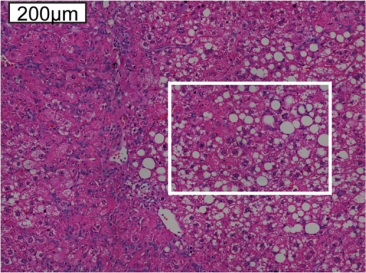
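This is liver tissue stained pink and purple, made up mostly of hepatocytes arranged in sheets. The vacuoles vary in size, some small and several large ones that fill most of the cell. Elsewhere the hepatocytes have pink cytoplasm with round purple nuclei, and a few pale vascular spaces are seen. This accumulation of fat droplets within the liver cells is steatosis.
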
